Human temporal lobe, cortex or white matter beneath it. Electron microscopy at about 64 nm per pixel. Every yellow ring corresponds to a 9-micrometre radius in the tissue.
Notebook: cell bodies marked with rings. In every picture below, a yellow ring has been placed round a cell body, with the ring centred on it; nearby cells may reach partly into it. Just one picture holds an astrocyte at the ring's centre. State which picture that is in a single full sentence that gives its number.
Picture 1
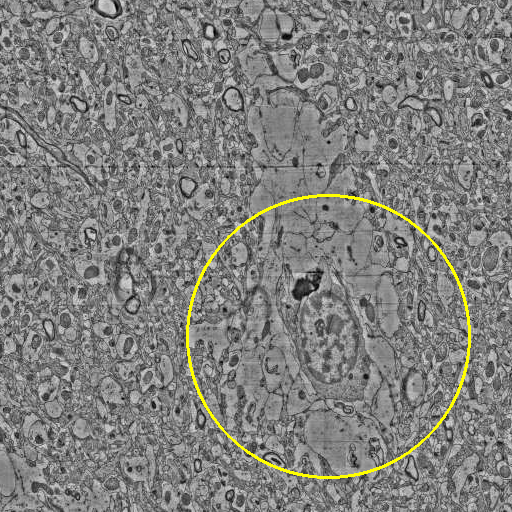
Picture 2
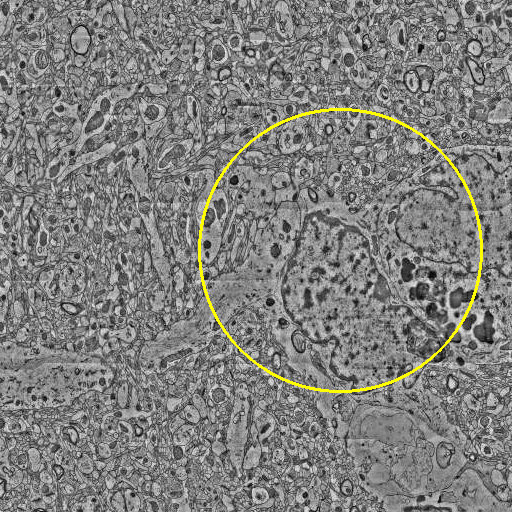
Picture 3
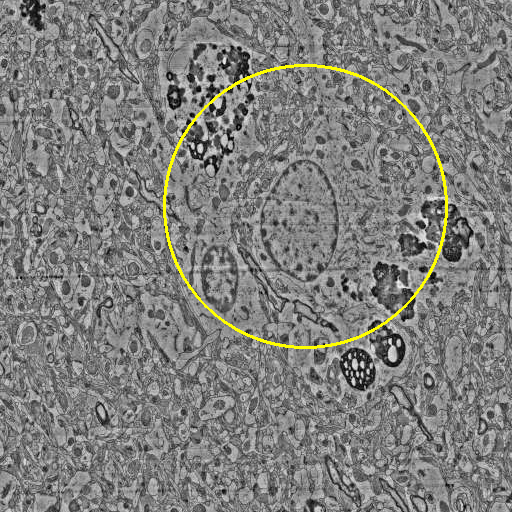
It is picture 3 whose ring has the wanted cell right at its centre.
